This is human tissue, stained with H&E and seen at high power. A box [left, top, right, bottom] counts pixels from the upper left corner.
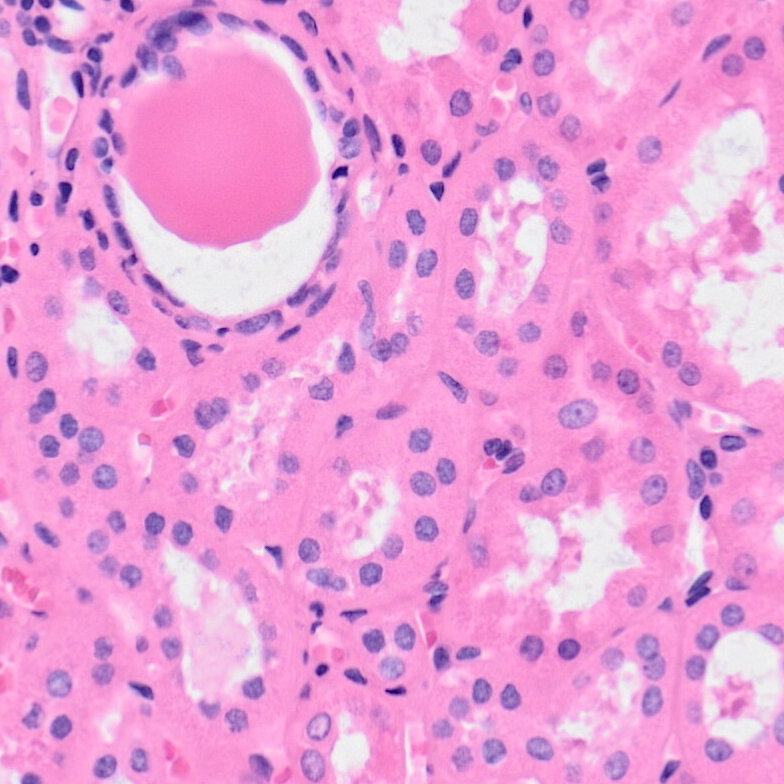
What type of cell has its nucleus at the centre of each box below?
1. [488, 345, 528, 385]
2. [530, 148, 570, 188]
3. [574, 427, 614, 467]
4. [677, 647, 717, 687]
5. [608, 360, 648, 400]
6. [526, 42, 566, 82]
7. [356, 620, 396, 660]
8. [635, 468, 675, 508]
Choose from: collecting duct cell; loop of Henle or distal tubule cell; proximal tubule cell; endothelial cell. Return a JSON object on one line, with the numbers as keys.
{"1": "loop of Henle or distal tubule cell", "2": "loop of Henle or distal tubule cell", "3": "proximal tubule cell", "4": "loop of Henle or distal tubule cell", "5": "proximal tubule cell", "6": "proximal tubule cell", "7": "loop of Henle or distal tubule cell", "8": "proximal tubule cell"}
